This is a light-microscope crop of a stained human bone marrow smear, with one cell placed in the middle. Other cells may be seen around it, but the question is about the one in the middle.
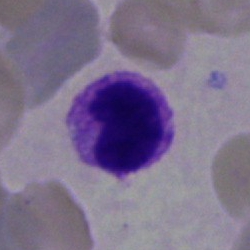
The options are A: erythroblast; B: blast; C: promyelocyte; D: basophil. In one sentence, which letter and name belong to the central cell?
Answer key: option D, the middle cell being a basophil.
